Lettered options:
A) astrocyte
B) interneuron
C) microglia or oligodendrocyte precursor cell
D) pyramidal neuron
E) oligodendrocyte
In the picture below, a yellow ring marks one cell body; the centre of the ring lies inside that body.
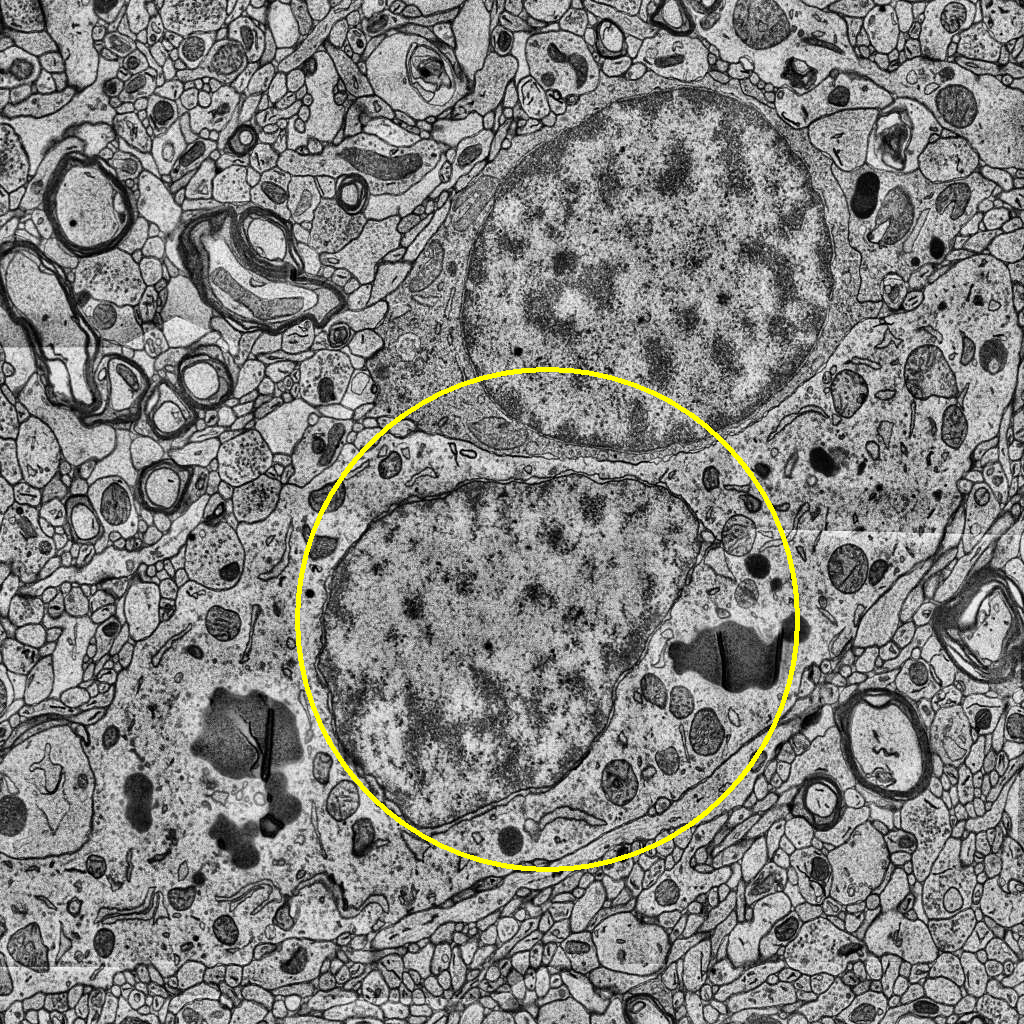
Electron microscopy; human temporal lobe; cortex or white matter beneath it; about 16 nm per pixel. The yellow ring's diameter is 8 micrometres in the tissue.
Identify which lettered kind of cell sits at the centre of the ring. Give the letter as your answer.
B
